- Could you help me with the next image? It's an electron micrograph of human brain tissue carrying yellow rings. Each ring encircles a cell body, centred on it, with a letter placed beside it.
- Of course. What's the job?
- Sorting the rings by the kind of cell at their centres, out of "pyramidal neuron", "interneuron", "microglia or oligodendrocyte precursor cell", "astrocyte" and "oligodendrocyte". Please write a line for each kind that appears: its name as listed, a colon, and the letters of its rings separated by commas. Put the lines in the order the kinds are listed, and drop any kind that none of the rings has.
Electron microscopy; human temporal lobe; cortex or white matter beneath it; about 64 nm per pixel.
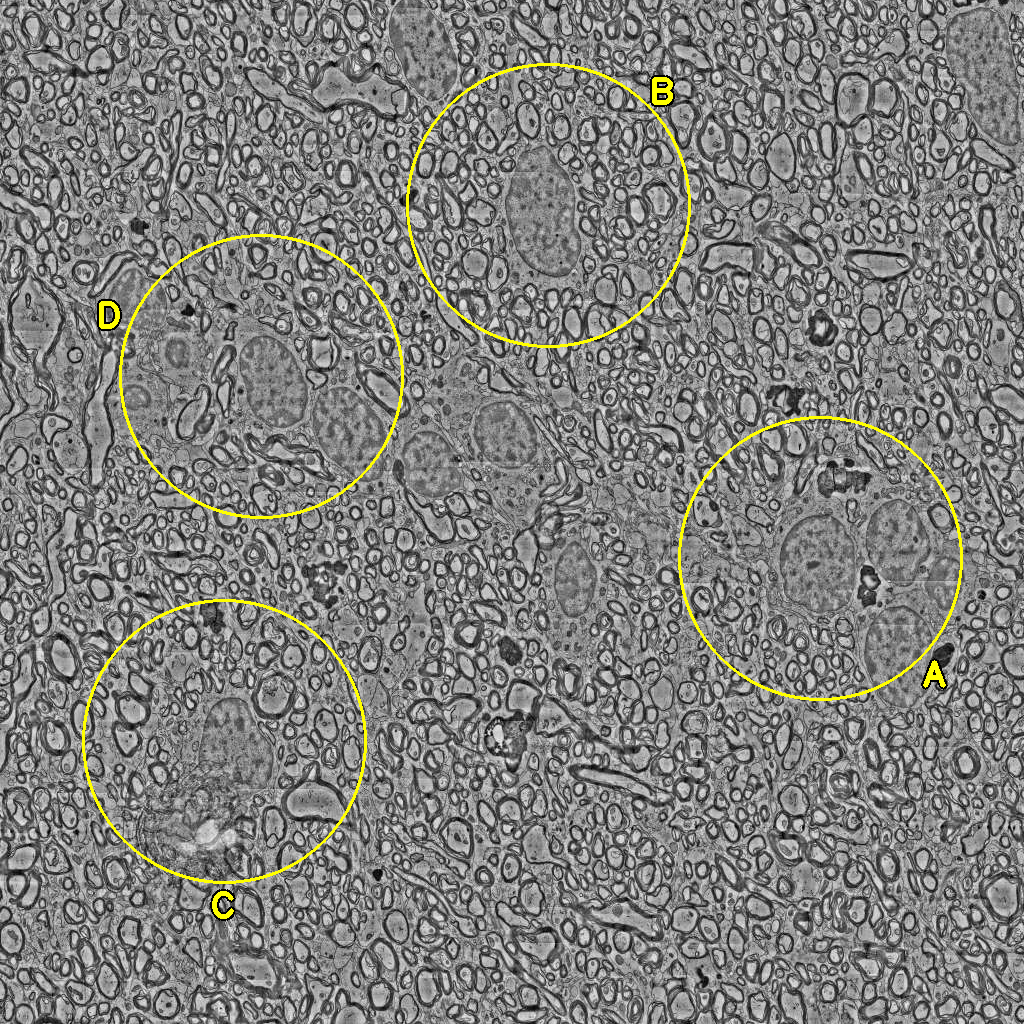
oligodendrocyte: A, B, C, D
